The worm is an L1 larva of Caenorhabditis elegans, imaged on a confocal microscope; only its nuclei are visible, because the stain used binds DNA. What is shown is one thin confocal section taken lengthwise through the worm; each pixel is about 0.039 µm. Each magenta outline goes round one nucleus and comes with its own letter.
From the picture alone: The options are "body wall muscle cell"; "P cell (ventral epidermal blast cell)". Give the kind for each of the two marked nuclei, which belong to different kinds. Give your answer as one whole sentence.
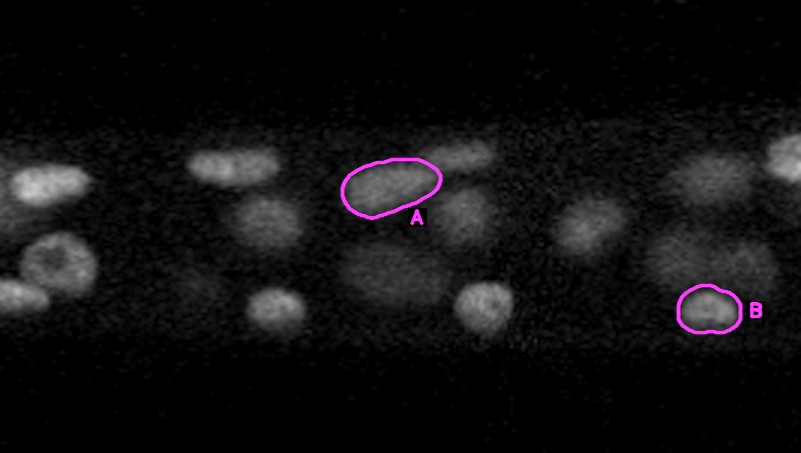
One is from a P cell (ventral epidermal blast cell), namely A, and the other, B, is from a body wall muscle cell.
